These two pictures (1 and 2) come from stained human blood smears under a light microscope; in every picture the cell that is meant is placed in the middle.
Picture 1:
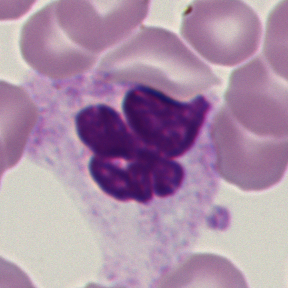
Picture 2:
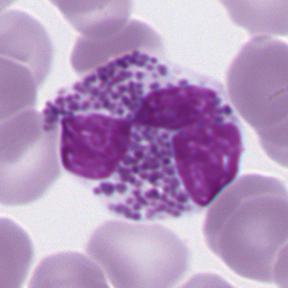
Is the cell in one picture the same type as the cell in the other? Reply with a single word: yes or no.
no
